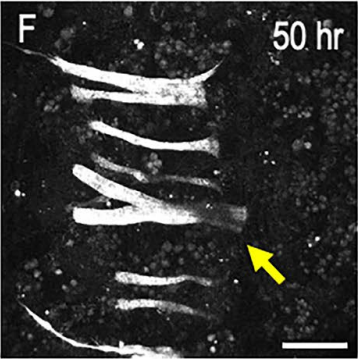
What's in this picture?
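Thick bright muscle fibers run horizontally and lie one above another, separated by dark gaps. The fibers are broad and evenly fluorescent with fairly smooth outlines and few fine threads at their ends.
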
